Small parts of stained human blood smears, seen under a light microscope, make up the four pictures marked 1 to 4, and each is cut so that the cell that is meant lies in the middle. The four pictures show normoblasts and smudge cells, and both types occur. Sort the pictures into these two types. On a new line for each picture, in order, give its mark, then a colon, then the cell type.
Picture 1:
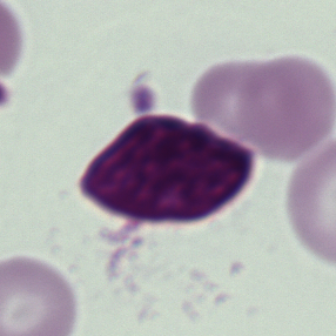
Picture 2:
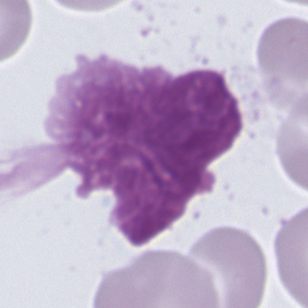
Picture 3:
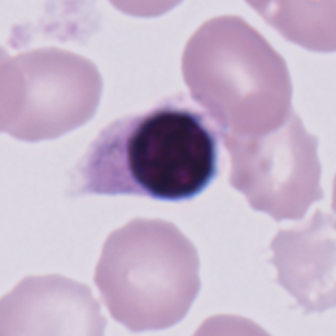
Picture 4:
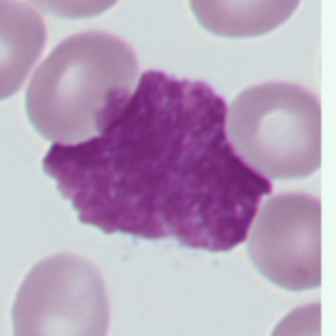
1: smudge cell
2: smudge cell
3: normoblast
4: smudge cell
